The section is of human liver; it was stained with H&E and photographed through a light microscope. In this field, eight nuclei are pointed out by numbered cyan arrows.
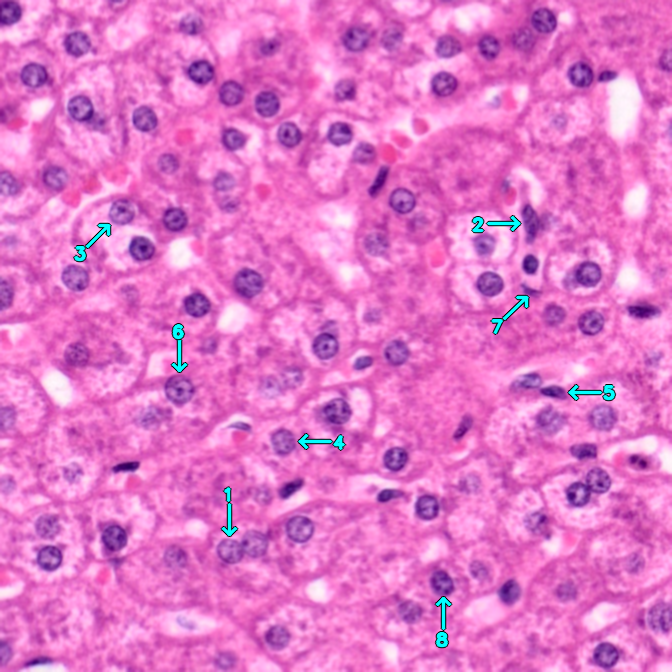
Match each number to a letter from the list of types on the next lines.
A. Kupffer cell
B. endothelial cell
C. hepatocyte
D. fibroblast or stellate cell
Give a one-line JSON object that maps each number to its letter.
{"1": "C", "2": "A", "3": "C", "4": "C", "5": "D", "6": "C", "7": "B", "8": "C"}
